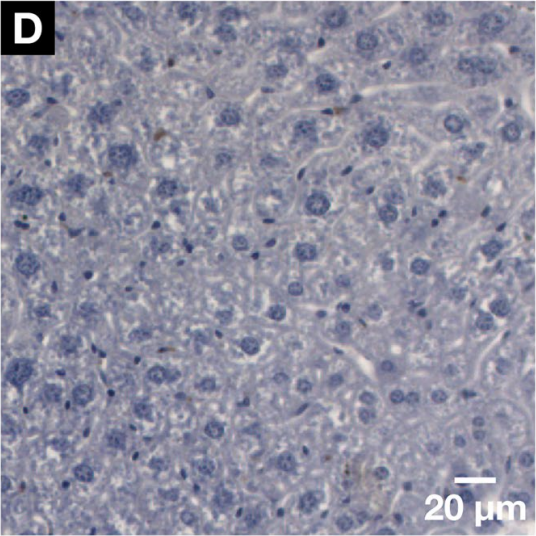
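This is liver tissue, made up mostly of hepatocytes with a few smaller lining cells among them. The hepatocytes have large round nuclei with a speckled purple chromatin pattern, set in a pale, finely granular cytoplasm, and they are spaced fairly evenly across the field. Between them lie much smaller, darker, often elongated nuclei belonging to the cells that line the sinusoids. Thin pale channels and clefts run between the cells.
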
